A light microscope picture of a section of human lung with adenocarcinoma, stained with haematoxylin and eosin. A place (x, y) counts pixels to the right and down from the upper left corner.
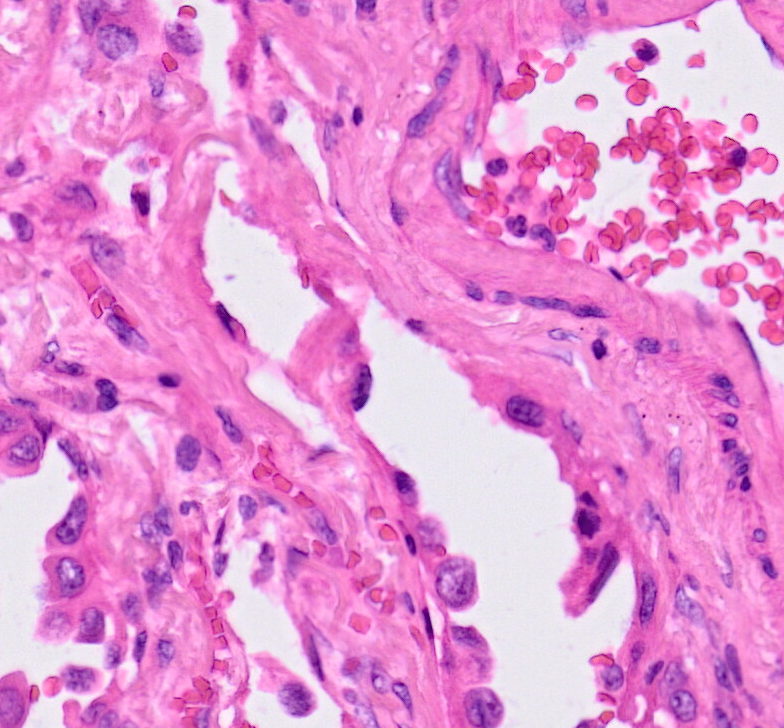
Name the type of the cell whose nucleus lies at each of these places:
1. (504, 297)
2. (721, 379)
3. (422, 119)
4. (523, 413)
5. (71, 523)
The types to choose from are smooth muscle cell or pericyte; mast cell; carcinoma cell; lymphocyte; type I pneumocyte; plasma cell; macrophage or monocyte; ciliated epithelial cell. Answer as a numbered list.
1. smooth muscle cell or pericyte
2. smooth muscle cell or pericyte
3. smooth muscle cell or pericyte
4. carcinoma cell
5. carcinoma cell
